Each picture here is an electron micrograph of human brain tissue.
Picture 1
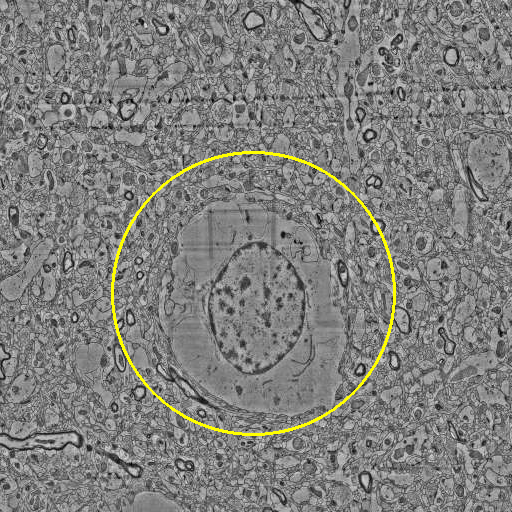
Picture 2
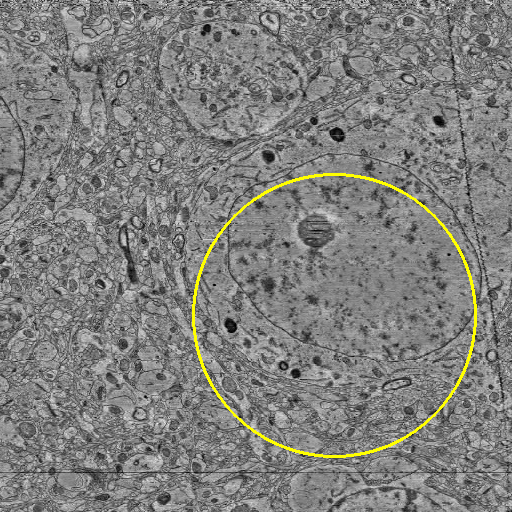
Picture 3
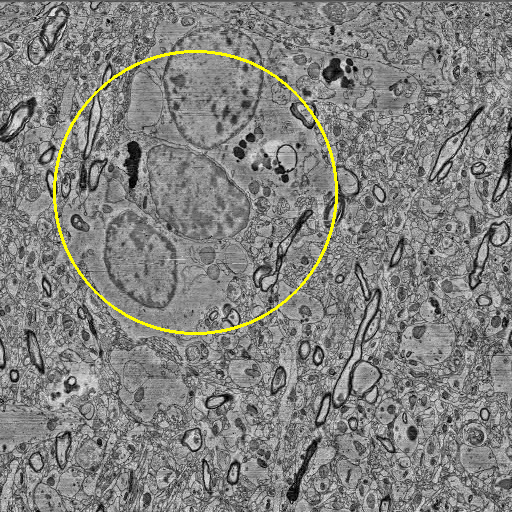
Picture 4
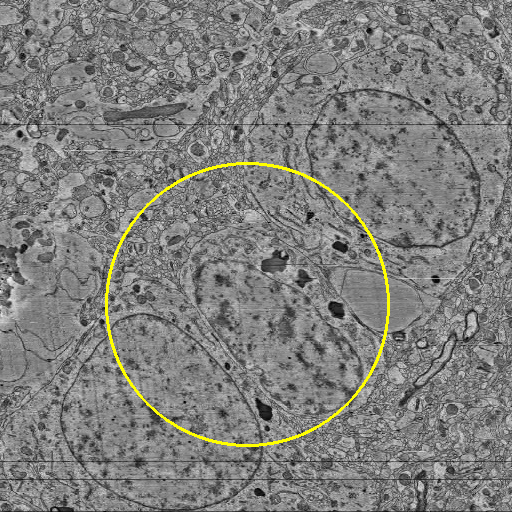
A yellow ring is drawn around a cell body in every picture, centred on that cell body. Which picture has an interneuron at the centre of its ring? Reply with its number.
4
